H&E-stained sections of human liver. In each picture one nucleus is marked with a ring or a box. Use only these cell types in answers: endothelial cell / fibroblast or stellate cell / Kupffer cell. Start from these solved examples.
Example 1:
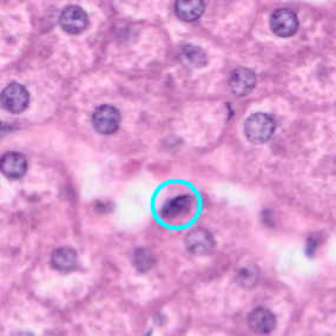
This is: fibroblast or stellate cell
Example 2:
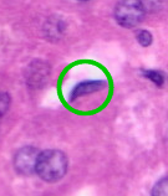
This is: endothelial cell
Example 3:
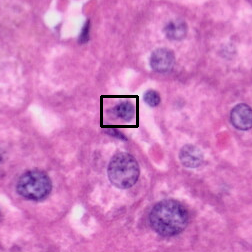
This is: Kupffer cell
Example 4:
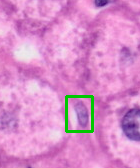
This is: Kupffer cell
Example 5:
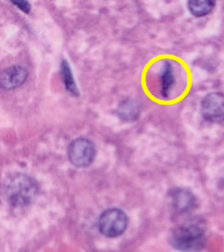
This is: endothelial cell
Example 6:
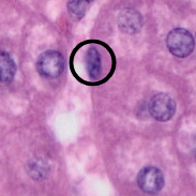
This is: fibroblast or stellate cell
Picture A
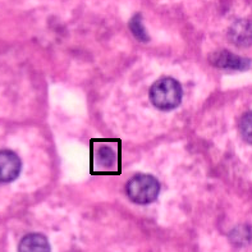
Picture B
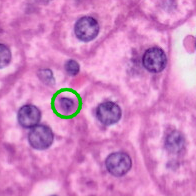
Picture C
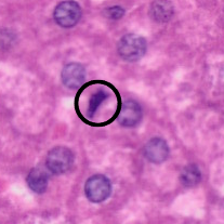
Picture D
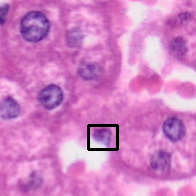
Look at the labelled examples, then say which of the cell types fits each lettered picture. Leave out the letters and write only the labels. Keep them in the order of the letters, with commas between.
Kupffer cell, fibroblast or stellate cell, fibroblast or stellate cell, fibroblast or stellate cell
